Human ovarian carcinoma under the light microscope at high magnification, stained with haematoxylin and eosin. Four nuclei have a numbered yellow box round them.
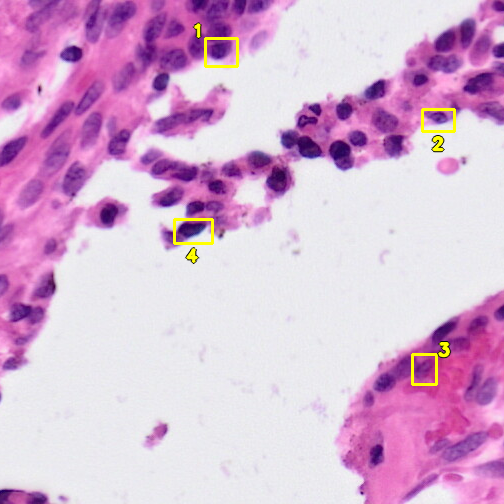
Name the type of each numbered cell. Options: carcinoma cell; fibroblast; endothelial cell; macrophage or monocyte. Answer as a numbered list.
1. carcinoma cell
2. macrophage or monocyte
3. endothelial cell
4. carcinoma cell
